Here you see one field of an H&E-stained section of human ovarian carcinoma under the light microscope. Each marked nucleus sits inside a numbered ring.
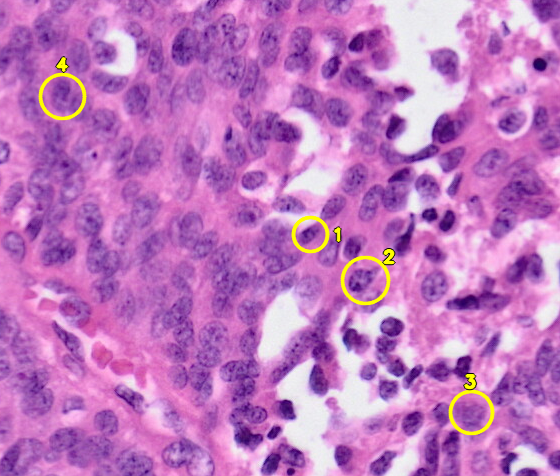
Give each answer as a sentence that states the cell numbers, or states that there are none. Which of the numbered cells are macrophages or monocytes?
There is only one numbered cell that is a macrophage or monocyte, and it is cell 2.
